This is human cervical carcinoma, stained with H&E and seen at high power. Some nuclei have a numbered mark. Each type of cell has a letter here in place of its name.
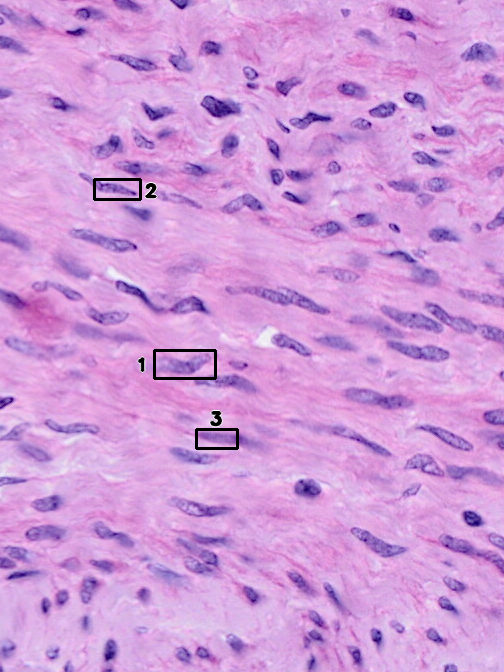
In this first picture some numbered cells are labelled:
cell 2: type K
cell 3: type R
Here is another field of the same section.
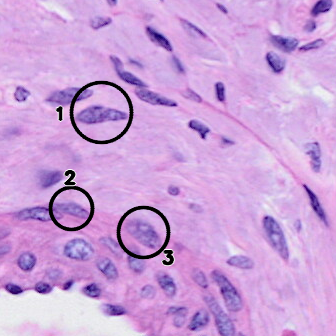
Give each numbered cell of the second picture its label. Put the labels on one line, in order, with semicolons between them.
type K; type R; type R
